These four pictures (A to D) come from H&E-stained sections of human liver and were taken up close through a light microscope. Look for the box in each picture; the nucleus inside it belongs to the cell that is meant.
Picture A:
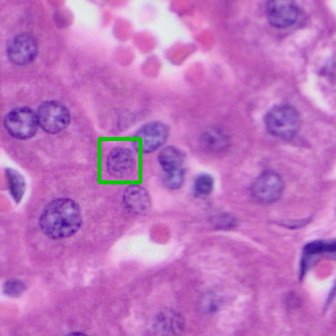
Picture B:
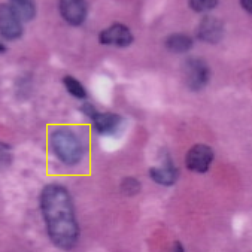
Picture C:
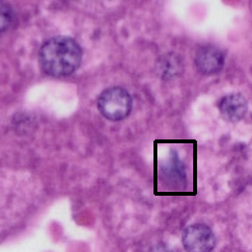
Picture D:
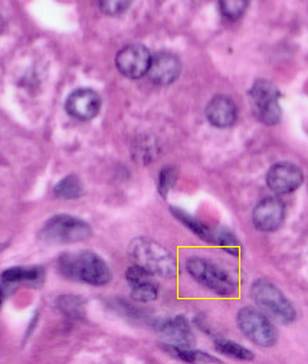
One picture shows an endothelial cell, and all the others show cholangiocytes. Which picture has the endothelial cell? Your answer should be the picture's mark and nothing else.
C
